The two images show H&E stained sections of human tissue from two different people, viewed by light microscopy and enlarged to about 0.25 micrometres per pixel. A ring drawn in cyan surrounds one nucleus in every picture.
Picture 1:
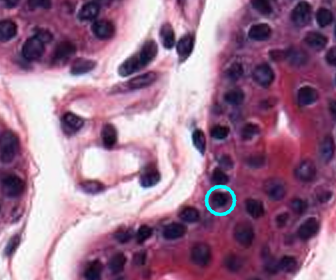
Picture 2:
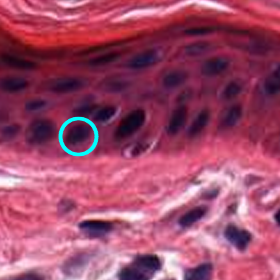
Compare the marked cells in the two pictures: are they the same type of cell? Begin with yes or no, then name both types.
No, the first is a sweat gland cell and the second a keratinocyte.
